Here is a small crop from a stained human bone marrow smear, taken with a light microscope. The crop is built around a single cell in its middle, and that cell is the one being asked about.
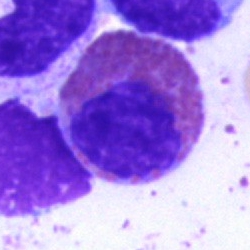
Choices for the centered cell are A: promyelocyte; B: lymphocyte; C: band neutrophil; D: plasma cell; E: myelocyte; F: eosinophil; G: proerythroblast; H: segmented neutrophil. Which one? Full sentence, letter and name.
What option F states is correct, the central cell being an eosinophil.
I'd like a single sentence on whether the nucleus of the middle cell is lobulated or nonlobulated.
What stands out is a nucleus forming one compact round, oval or kidney-shaped mass.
